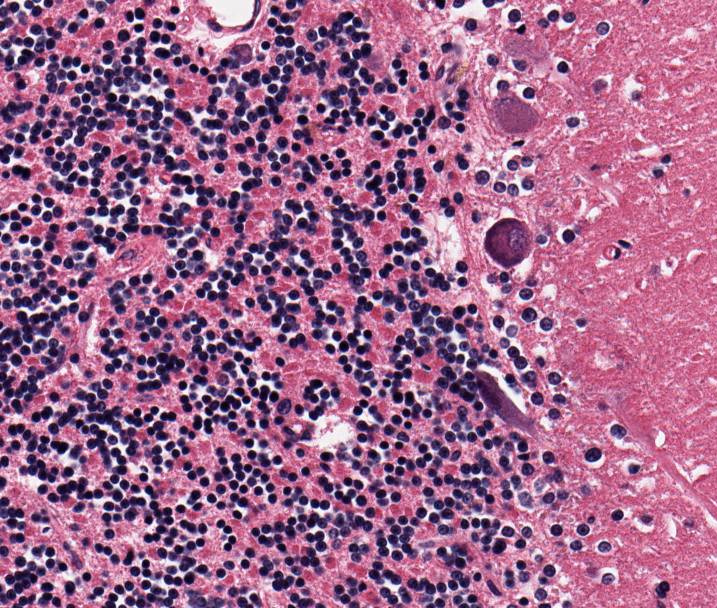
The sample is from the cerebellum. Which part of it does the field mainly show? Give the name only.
granular layer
